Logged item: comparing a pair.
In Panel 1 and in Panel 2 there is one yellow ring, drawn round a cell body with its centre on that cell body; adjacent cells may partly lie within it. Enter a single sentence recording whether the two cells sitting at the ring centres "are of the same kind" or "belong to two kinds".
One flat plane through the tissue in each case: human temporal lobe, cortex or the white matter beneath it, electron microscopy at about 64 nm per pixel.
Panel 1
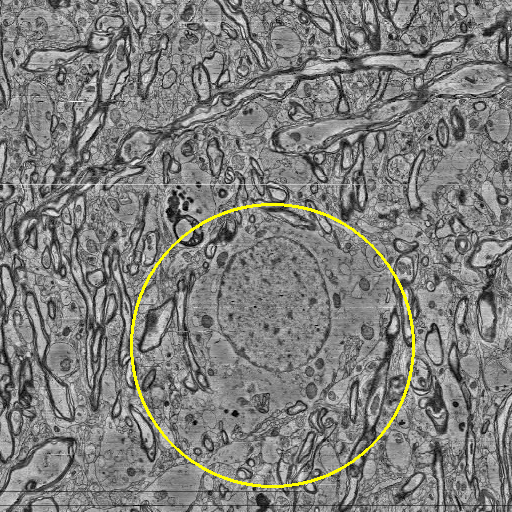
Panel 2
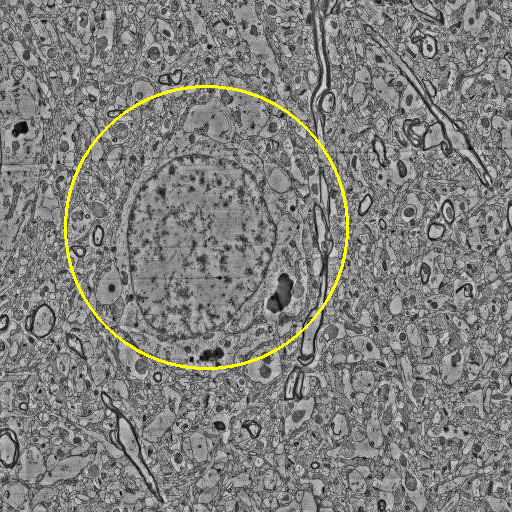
Logged: the cells centred in the rings of Panel 1 and Panel 2 belong to two kinds.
